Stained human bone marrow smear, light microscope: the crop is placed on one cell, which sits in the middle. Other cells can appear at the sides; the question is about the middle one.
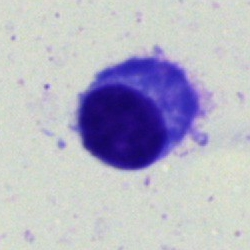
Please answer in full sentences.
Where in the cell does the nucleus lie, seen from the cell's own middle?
It is shifted toward the lower left of the cell.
